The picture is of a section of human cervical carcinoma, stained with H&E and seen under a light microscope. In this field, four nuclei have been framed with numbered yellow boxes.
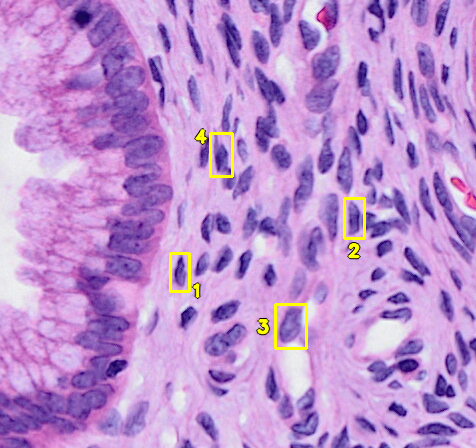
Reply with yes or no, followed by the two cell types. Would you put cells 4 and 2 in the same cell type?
Yes, the two cells marked 4 and 2 are both fibroblasts.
